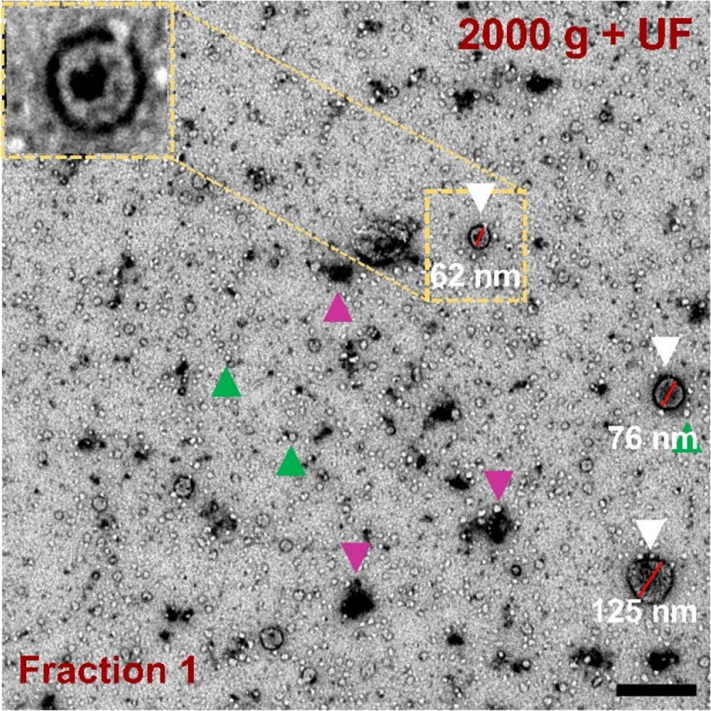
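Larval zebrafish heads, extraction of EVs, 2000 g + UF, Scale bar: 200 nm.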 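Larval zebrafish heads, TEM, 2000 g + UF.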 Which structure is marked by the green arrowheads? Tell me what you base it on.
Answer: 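The marked objects are small round particles much smaller than the ringed vesicles. Many such small round particles are scattered across the background.
Hence: lipoparticles.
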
